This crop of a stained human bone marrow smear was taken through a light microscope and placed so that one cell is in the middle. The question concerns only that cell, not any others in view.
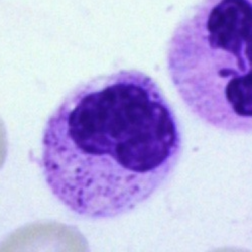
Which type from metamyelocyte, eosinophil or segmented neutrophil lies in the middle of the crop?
metamyelocyte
